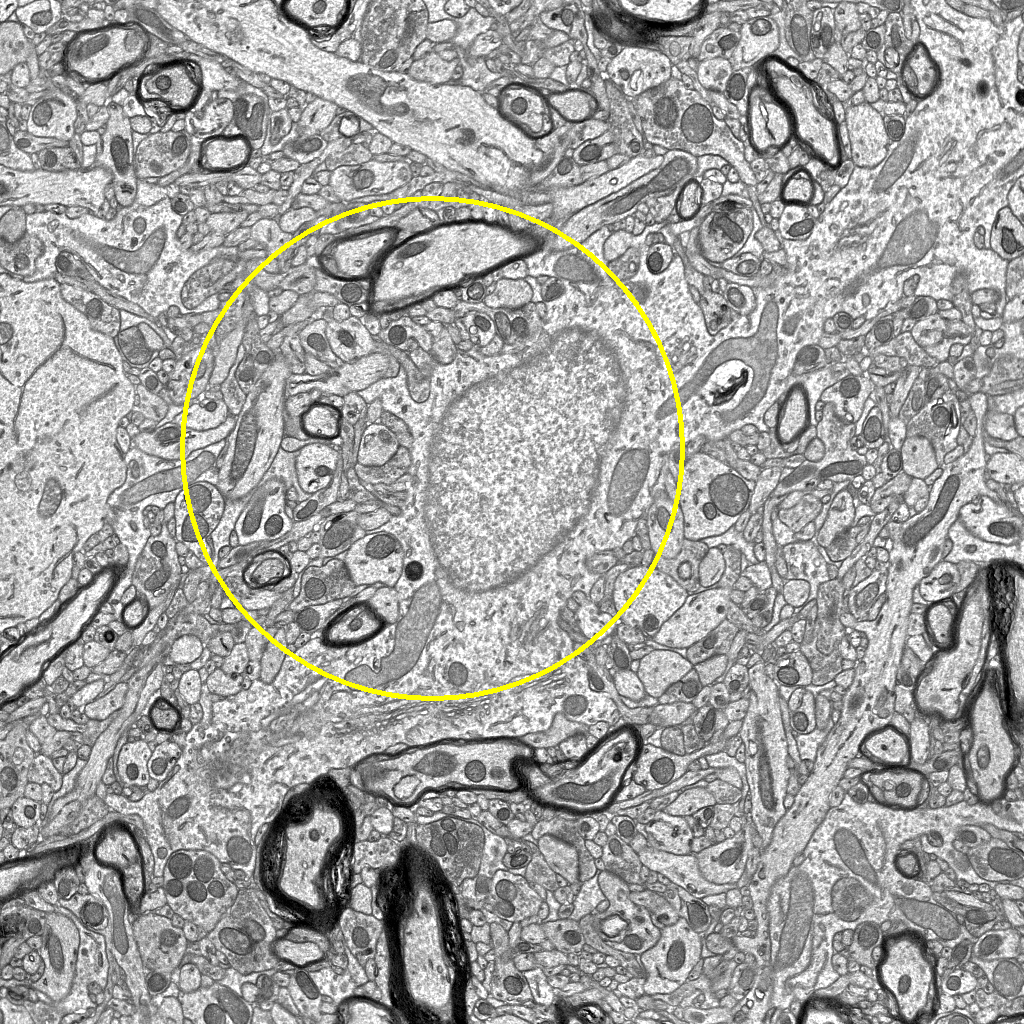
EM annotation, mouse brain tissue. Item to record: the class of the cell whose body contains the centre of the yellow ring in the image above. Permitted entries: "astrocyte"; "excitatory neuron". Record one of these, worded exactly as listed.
astrocyte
